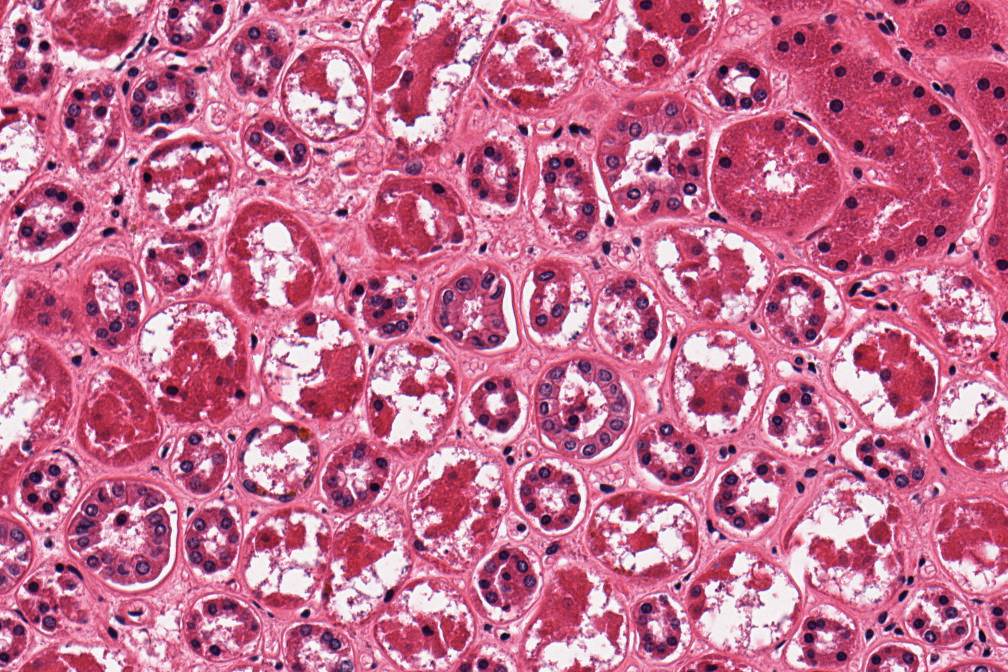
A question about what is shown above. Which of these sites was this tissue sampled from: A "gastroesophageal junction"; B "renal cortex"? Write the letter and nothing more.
B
